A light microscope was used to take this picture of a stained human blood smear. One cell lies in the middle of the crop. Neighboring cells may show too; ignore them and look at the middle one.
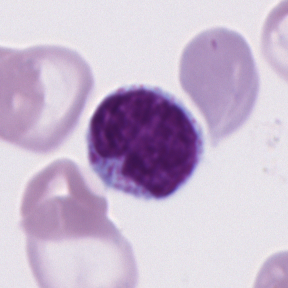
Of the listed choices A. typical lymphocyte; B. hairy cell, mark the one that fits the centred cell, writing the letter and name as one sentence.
The middle of the crop holds a typical lymphocyte, which points to option A.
